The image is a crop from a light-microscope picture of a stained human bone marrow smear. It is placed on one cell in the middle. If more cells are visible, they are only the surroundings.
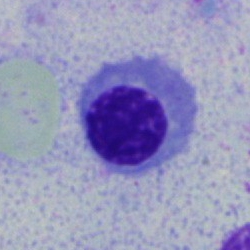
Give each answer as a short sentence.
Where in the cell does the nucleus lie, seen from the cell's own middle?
Toward the lower left of the cell lies its nucleus.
